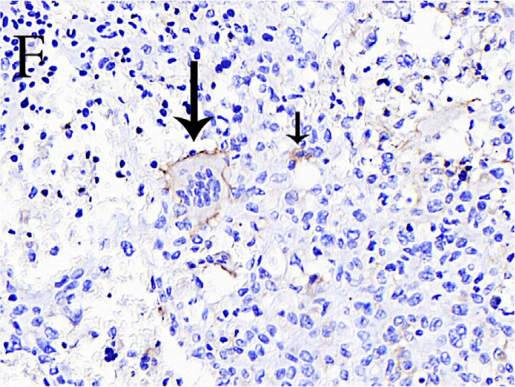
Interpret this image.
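A tumor composed of crowded mononuclear ovoid to spindle cells with blue nuclei set in a pale background. Among them lies a large multinucleated osteoclastic giant cell whose clustered nuclei are surrounded by a faint brown rim, and a few smaller tumor cells also show thin brown outlines.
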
